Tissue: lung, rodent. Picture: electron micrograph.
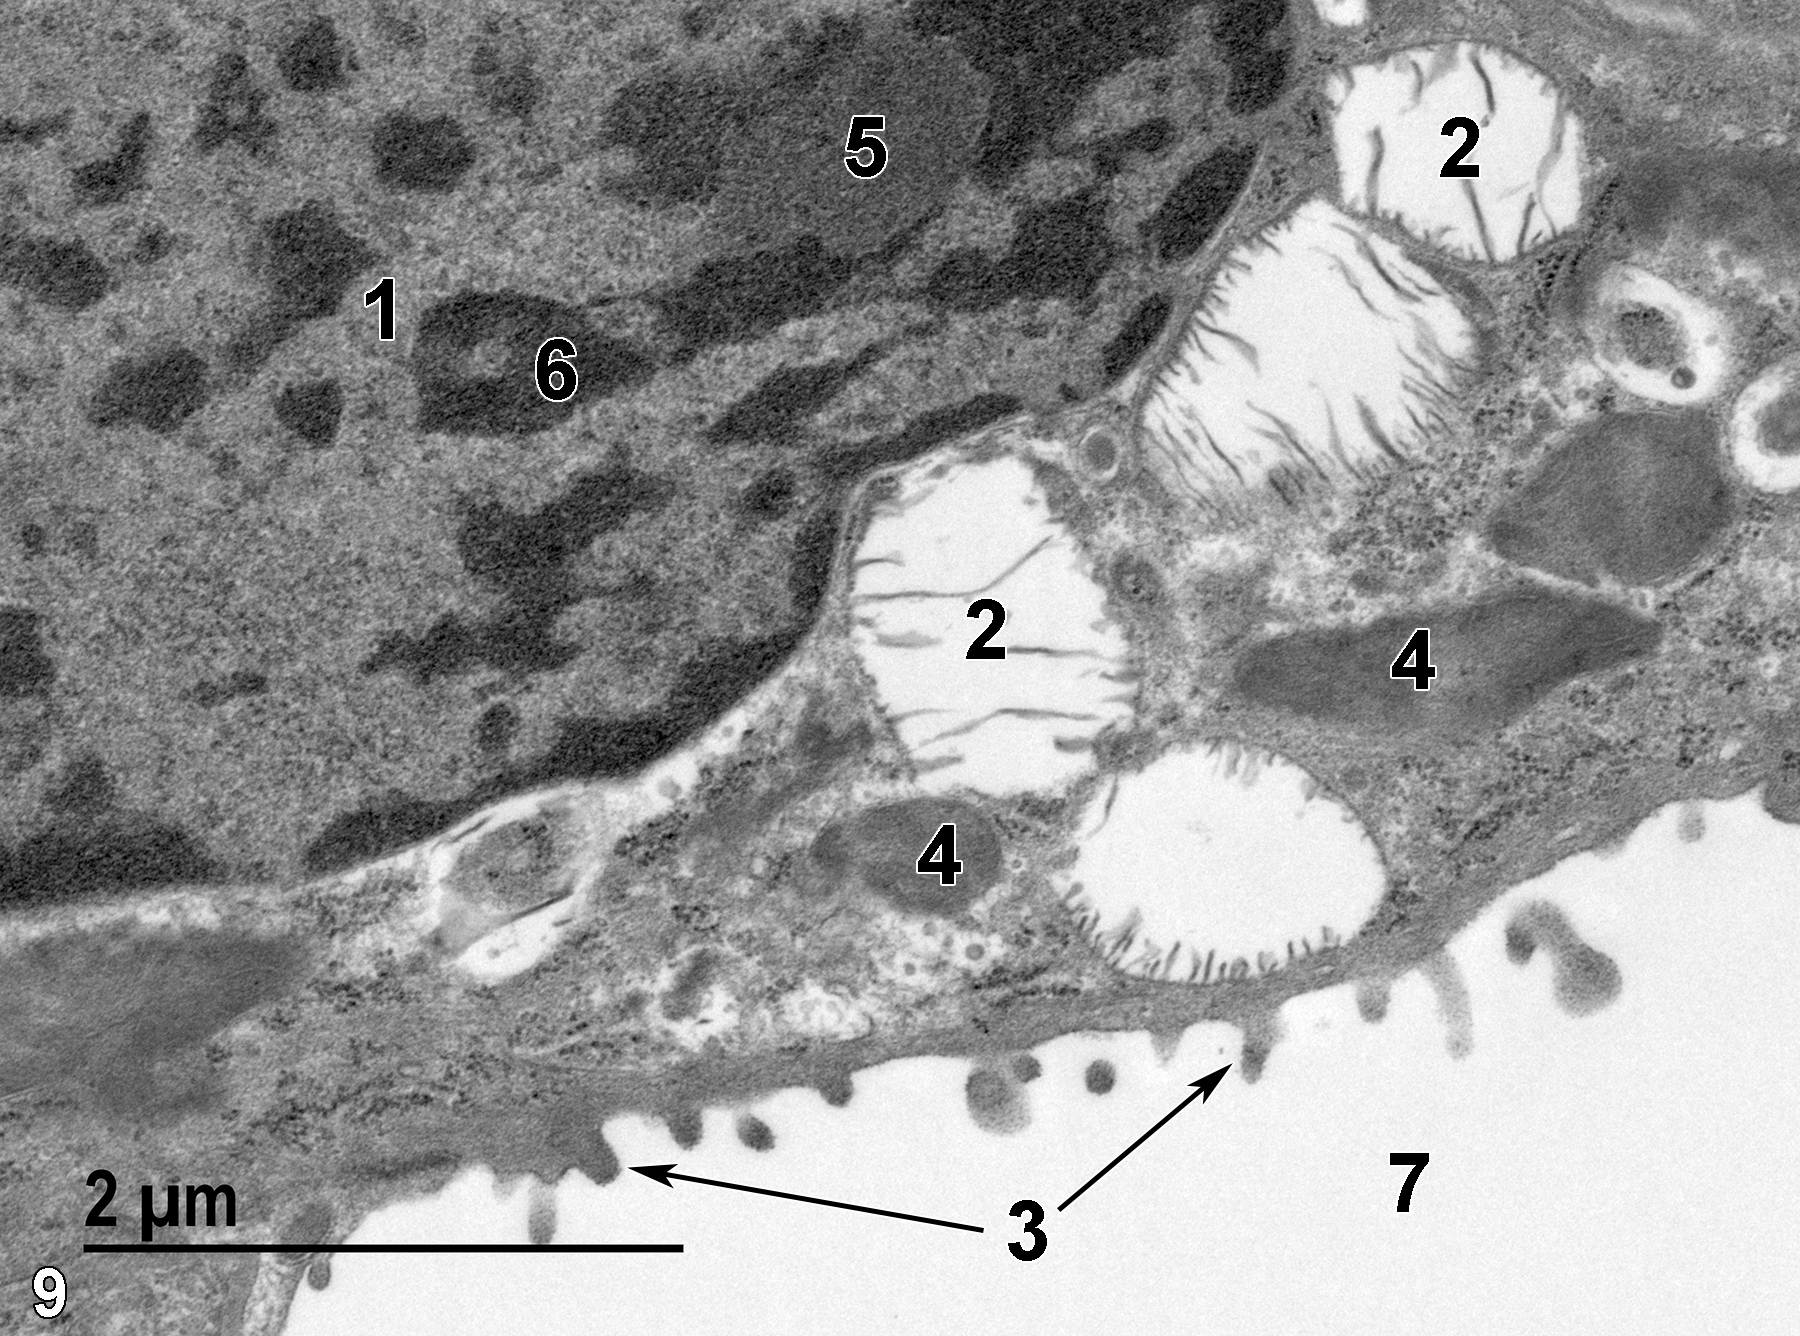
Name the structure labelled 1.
Nucleus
